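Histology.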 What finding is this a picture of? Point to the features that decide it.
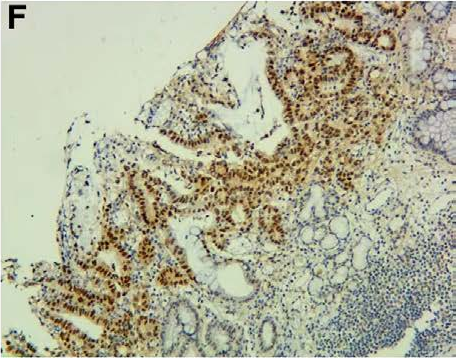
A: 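Glands of varying sizes with disorganized architecture and areas of confluence. Glands lined by brown-staining nuclei differ widely in size and shape. Several glands lie back to back and merge into one another. Irregular glands replace the orderly mucosal layout, beside a few pale normal glands.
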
